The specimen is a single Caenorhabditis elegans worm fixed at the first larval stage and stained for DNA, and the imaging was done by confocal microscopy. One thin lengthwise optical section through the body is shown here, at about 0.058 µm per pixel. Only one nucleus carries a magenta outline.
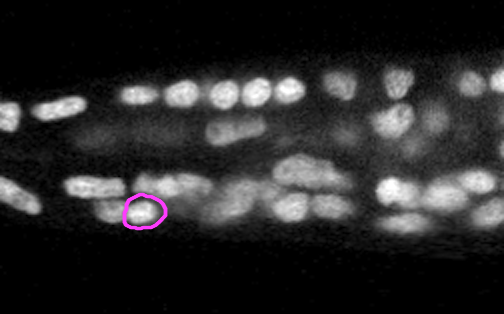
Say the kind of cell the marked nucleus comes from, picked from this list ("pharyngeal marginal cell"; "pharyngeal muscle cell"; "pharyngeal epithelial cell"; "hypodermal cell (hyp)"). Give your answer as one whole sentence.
It is the nucleus of a hypodermal cell (hyp).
